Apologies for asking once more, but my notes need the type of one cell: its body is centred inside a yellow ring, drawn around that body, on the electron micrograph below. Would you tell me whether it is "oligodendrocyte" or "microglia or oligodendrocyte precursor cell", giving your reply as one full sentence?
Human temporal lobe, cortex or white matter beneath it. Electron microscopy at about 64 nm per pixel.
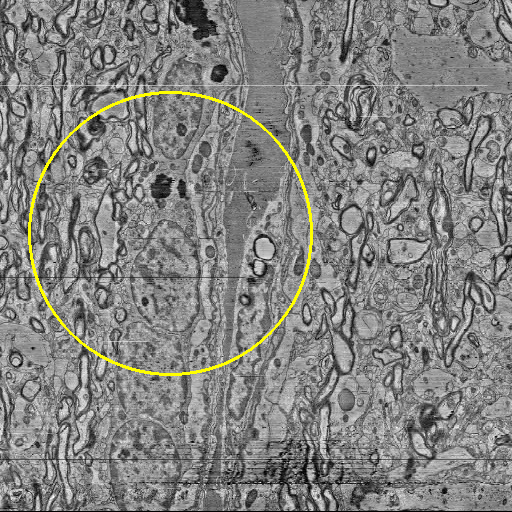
The cell that the yellow ring is centred on is an oligodendrocyte in this micrograph.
